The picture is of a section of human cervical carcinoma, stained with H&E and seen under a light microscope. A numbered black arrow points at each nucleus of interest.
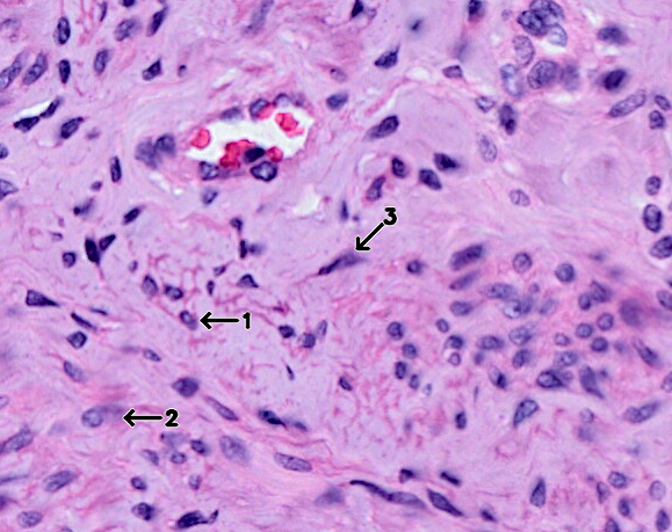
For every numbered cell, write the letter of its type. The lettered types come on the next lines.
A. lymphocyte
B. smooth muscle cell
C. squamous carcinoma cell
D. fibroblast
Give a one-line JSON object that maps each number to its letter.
{"1": "B", "2": "B", "3": "D"}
